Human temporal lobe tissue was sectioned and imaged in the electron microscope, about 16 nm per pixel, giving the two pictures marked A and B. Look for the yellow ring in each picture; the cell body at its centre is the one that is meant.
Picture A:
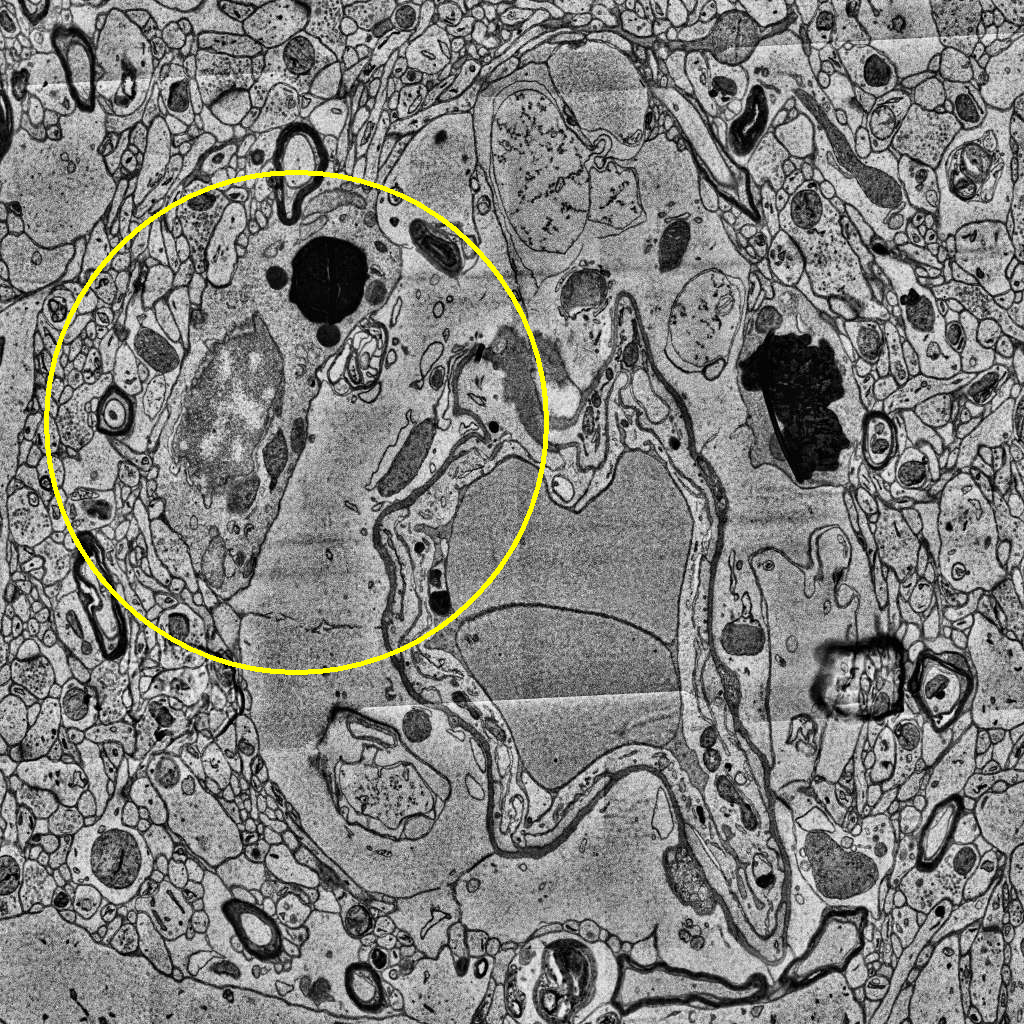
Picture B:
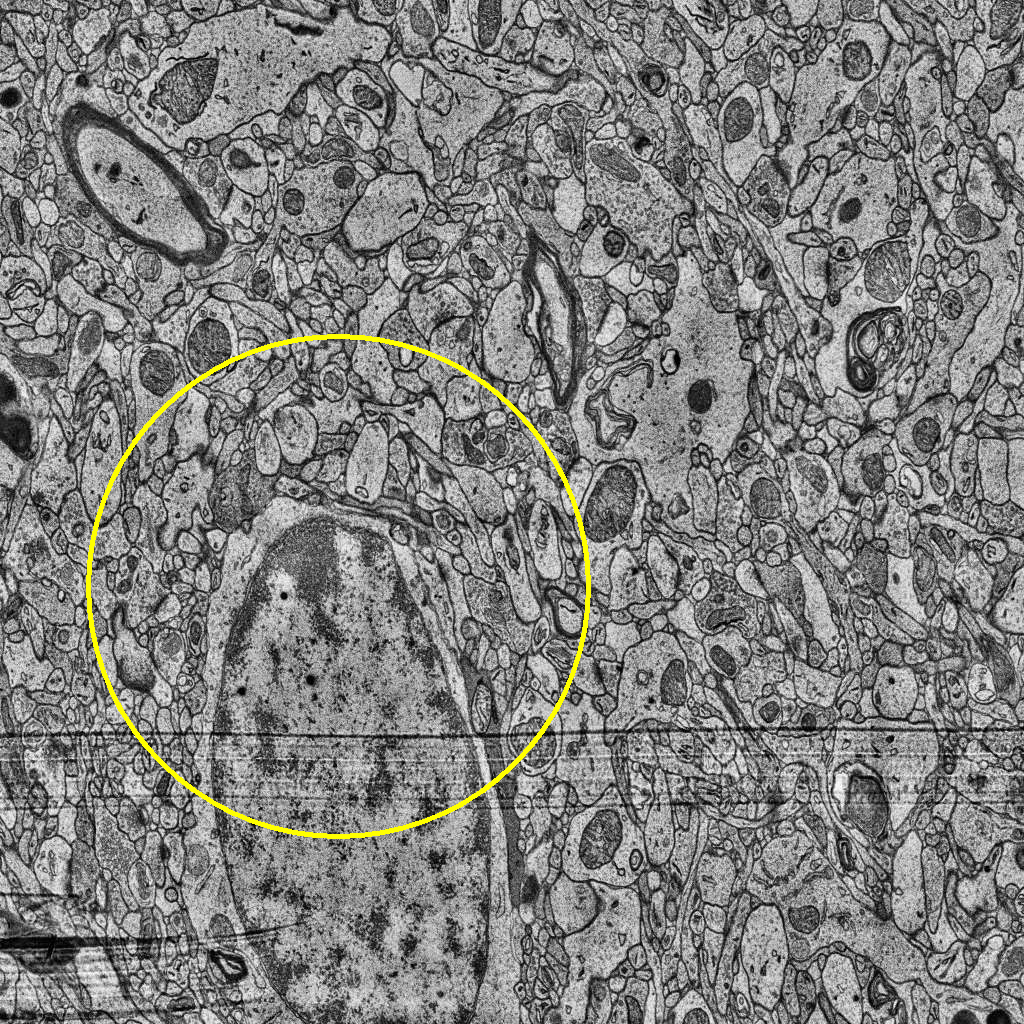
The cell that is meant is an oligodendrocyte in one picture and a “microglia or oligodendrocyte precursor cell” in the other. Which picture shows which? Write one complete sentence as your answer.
The cell in picture A is an oligodendrocyte, and the one in picture B is a “microglia or oligodendrocyte precursor cell”.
